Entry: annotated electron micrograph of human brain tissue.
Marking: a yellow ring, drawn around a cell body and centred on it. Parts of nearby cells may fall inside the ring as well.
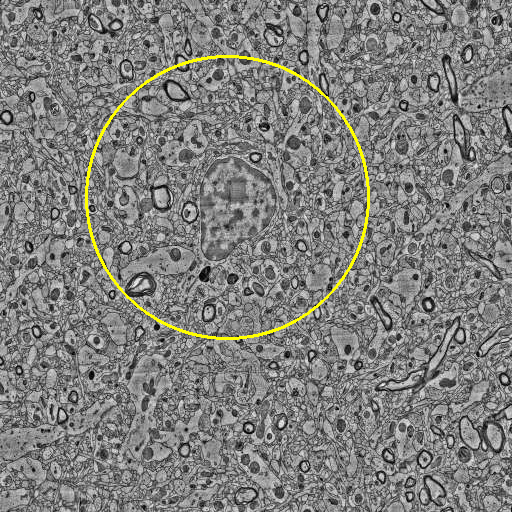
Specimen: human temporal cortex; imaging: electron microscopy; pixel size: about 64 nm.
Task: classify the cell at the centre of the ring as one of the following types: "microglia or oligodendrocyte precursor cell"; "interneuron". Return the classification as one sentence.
The marked cell is classified as a microglial cell or oligodendrocyte precursor cell.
